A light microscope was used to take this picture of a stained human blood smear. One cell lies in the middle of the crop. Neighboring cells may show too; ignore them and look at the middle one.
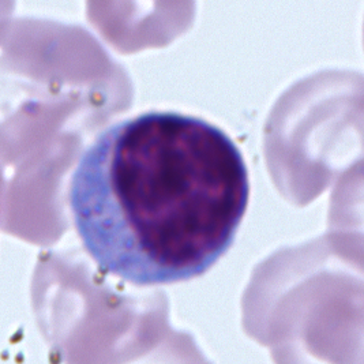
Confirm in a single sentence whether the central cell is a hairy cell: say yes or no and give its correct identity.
No, the cell in the middle is categorised as a typical lymphocyte, not a hairy cell.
